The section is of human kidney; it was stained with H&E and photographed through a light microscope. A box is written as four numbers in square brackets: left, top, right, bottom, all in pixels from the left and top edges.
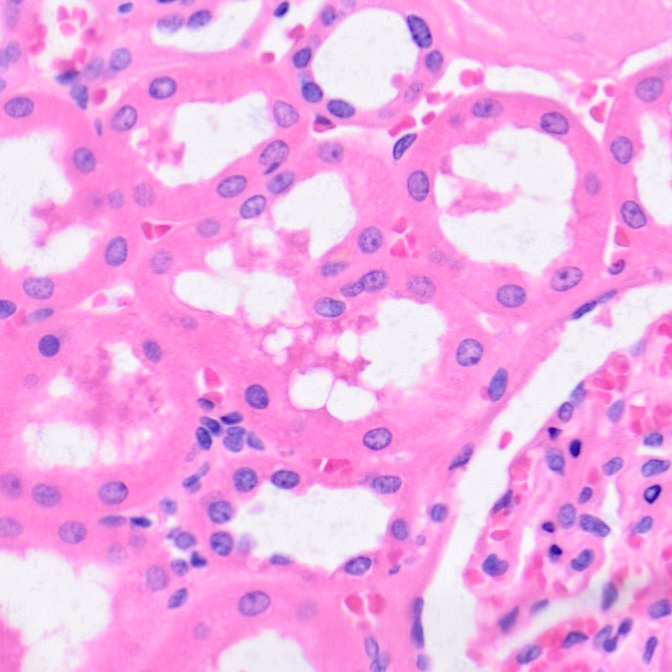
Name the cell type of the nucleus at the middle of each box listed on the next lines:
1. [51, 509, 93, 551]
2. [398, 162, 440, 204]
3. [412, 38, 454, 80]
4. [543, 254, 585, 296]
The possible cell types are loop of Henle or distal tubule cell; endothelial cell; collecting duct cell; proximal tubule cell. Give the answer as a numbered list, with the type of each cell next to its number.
1. proximal tubule cell
2. proximal tubule cell
3. collecting duct cell
4. proximal tubule cell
